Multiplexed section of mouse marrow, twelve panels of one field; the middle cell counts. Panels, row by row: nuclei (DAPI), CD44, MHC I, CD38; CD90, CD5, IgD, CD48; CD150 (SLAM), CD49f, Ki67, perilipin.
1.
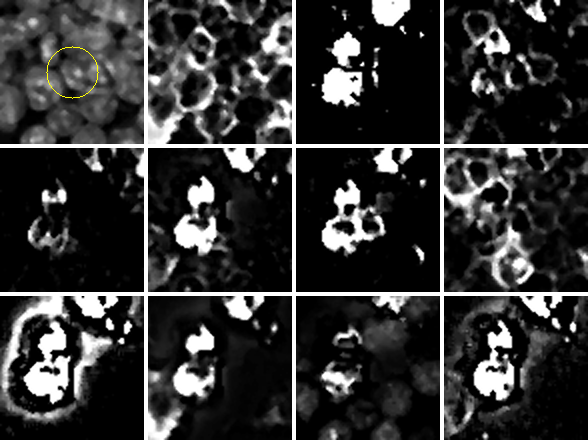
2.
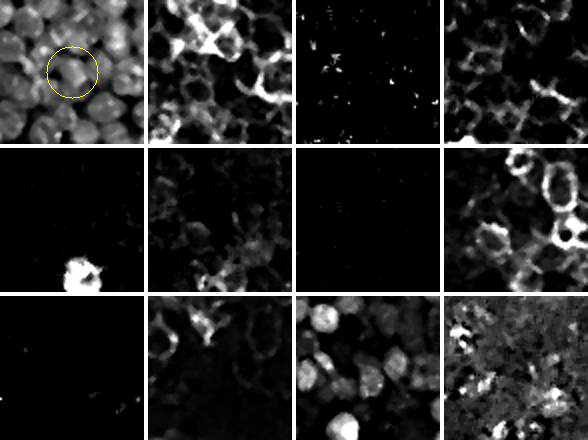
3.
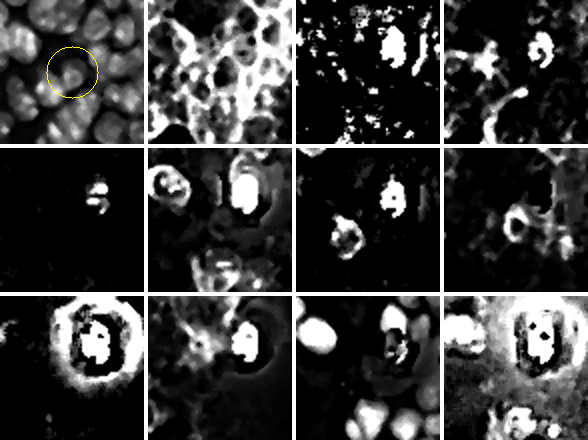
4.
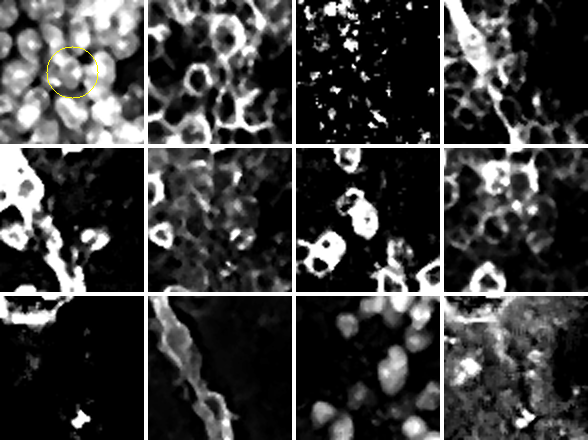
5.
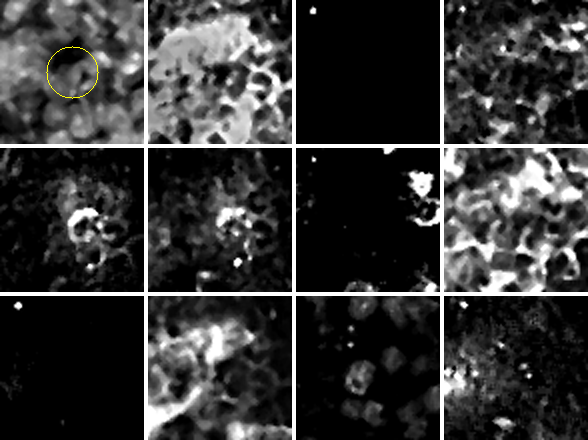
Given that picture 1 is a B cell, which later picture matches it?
4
